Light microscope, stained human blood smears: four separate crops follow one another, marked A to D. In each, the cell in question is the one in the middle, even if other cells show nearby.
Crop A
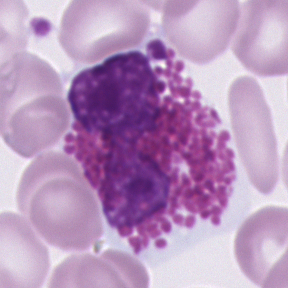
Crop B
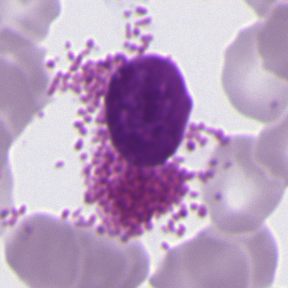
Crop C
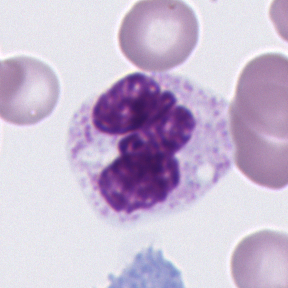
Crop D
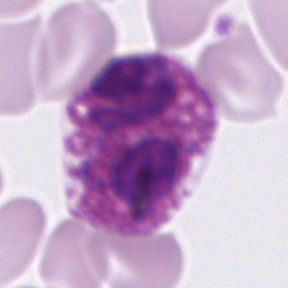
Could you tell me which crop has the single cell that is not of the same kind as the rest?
C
